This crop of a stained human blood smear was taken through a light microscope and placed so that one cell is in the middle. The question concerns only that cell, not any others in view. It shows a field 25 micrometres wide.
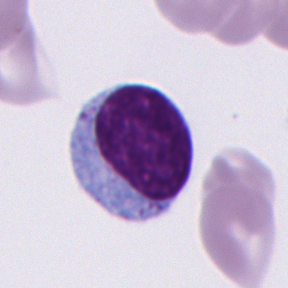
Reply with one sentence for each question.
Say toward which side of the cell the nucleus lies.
Seen from the middle of the cell, the nucleus lies toward the upper right.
